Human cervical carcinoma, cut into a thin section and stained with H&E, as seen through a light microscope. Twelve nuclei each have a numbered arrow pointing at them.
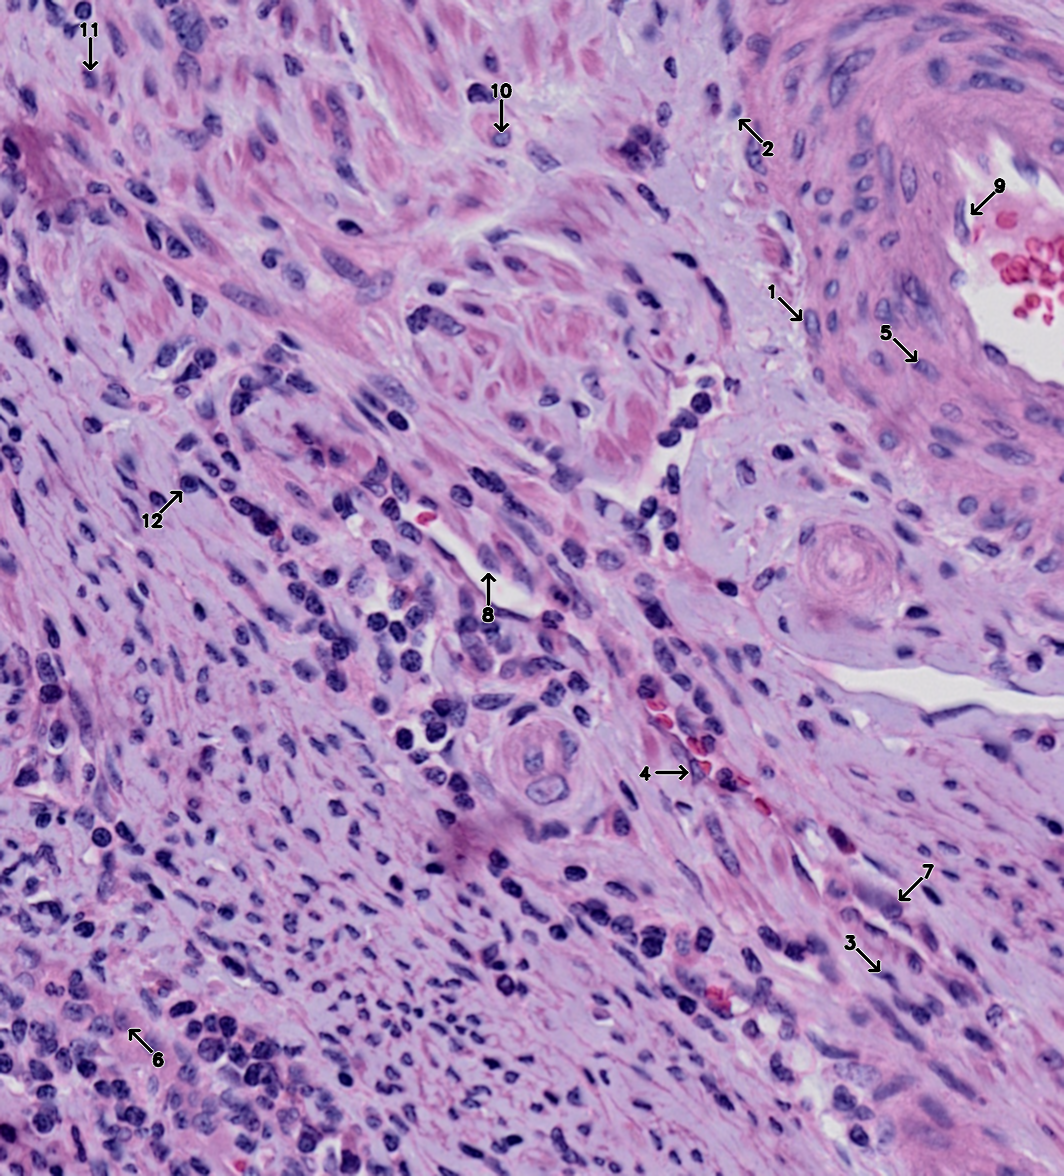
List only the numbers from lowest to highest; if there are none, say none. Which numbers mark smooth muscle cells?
1, 2, 5, 10, 11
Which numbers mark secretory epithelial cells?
none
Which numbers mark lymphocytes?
12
